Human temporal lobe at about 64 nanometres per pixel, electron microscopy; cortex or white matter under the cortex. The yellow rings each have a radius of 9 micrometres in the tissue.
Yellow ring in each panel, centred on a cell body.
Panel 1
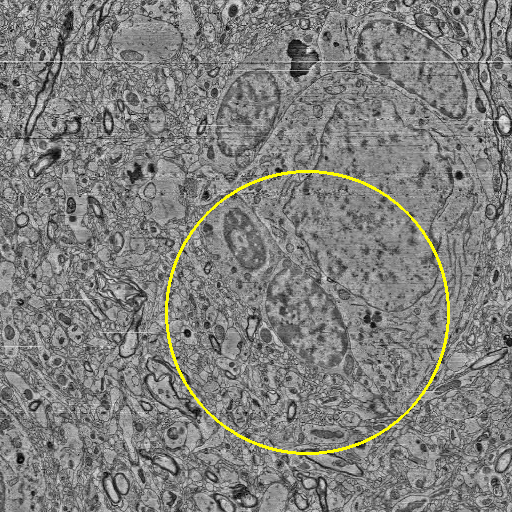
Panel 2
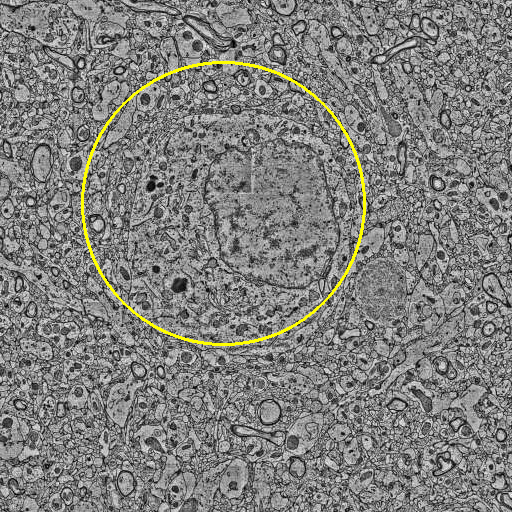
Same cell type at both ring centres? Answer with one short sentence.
No, the two cells are of two types.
